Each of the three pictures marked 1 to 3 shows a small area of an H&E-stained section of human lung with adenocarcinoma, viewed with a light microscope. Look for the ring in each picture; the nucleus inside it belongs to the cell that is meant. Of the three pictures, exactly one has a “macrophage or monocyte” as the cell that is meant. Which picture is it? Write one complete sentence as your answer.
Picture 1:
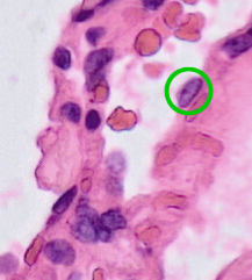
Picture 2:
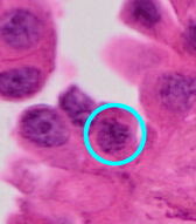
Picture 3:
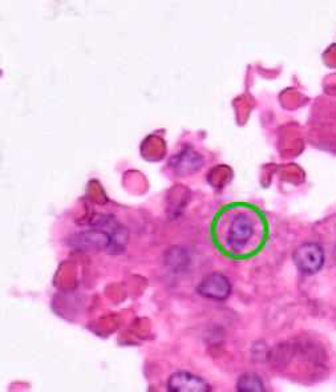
Picture 3 is the one that shows the “macrophage or monocyte”.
